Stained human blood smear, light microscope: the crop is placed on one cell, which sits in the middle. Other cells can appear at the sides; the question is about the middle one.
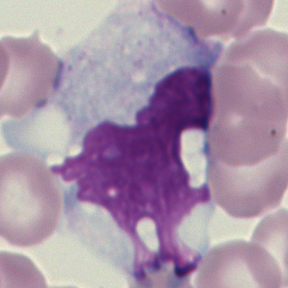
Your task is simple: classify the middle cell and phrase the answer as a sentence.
Centred in the crop is a monocyte.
